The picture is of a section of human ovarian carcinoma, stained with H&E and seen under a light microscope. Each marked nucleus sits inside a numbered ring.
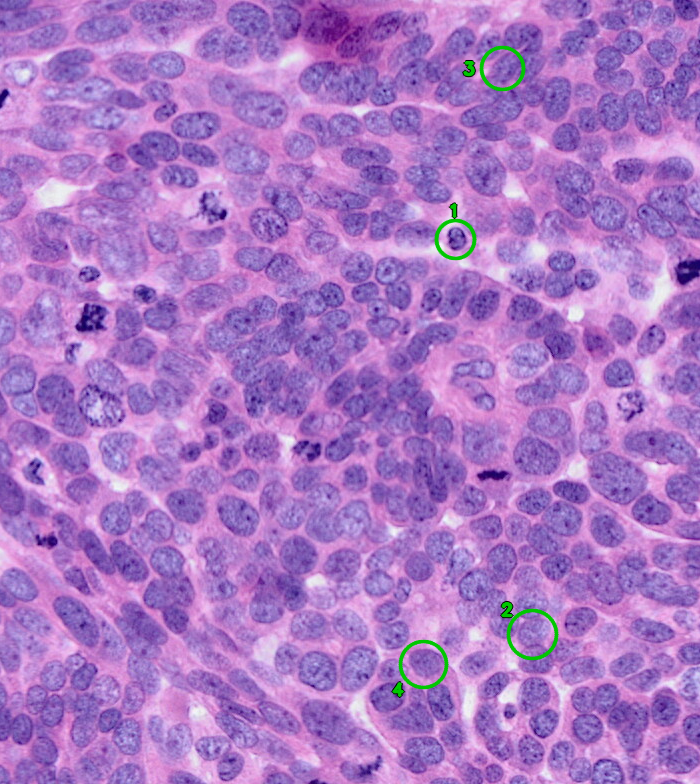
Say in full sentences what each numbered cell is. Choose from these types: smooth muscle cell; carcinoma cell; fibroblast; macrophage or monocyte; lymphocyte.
Cell 1 is a lymphocyte, cell 2 is a carcinoma cell, cell 3 is a carcinoma cell and cell 4 is a carcinoma cell.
